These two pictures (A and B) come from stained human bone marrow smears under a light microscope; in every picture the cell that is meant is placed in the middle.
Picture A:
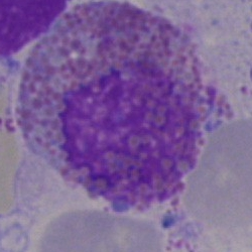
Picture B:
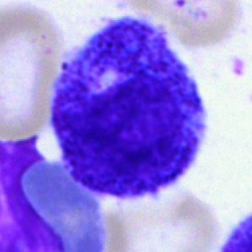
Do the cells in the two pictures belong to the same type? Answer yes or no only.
no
